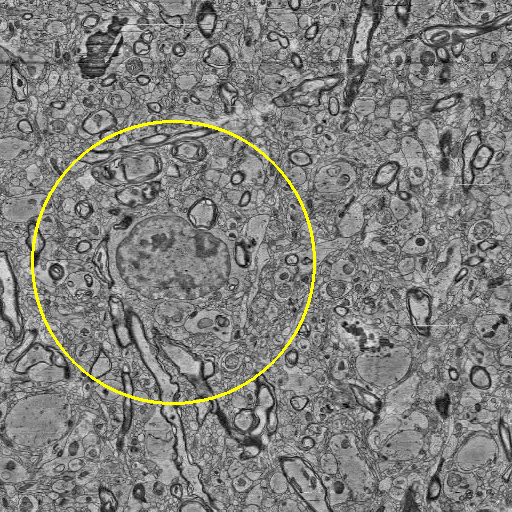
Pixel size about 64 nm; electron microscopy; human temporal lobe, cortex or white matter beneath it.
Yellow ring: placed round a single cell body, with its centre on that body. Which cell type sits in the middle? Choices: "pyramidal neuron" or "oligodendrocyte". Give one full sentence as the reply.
It is an oligodendrocyte whose cell body sits at the centre of the yellow ring.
